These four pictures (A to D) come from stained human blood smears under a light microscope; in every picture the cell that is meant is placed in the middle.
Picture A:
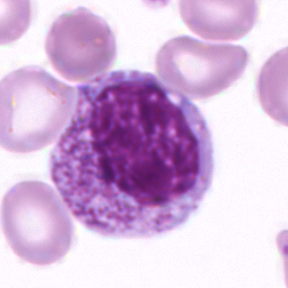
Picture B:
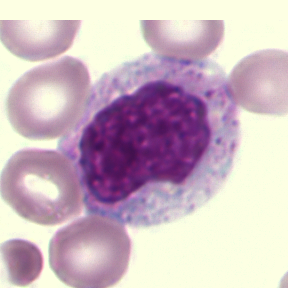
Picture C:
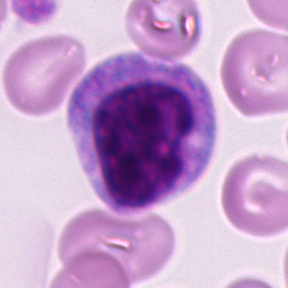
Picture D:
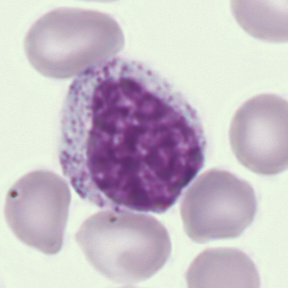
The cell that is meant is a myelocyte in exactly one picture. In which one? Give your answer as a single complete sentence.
It is picture A that shows the myelocyte.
